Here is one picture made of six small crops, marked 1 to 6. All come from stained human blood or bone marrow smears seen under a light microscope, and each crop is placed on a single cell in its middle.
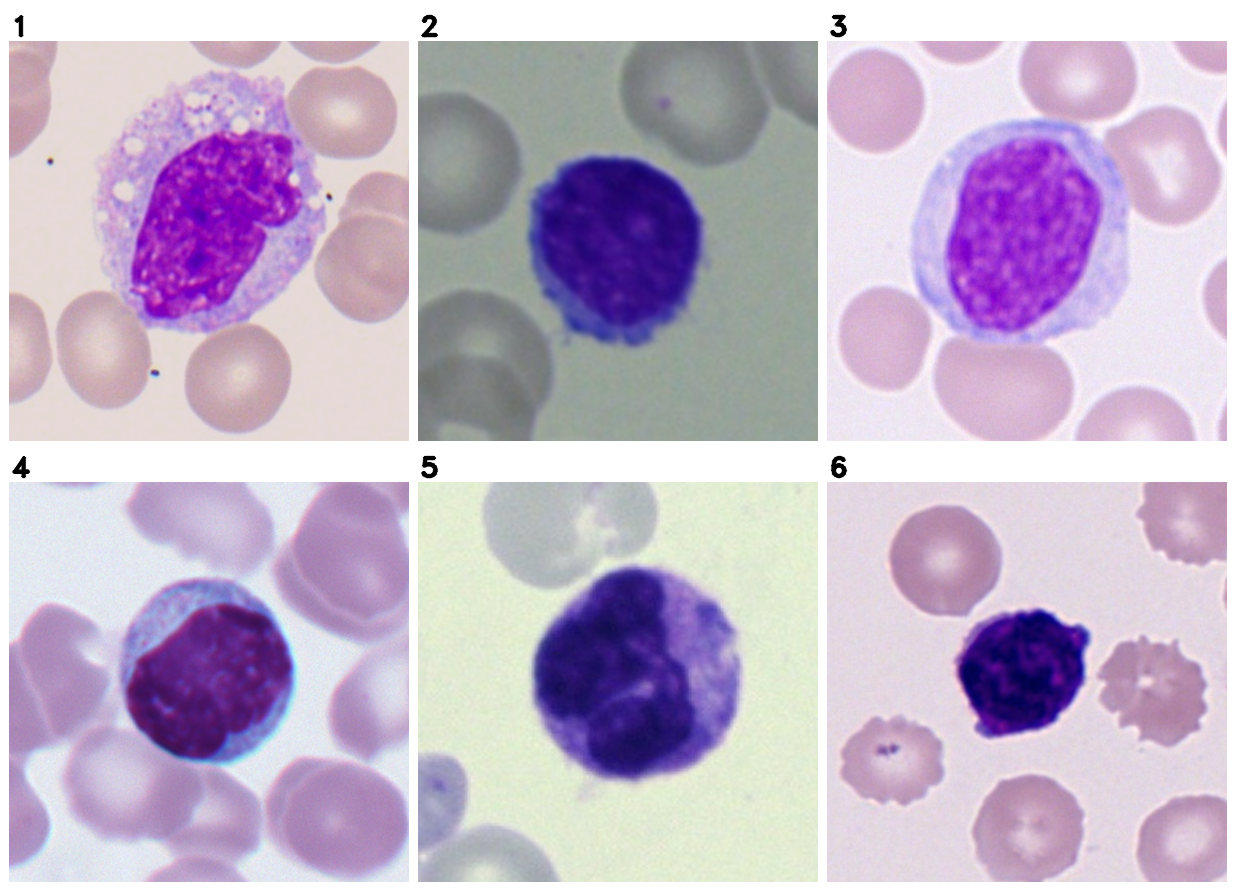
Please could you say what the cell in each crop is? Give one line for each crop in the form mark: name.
1: monocyte
2: lymphocyte
3: monocyte
4: lymphocyte
5: monocyte
6: lymphocyte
